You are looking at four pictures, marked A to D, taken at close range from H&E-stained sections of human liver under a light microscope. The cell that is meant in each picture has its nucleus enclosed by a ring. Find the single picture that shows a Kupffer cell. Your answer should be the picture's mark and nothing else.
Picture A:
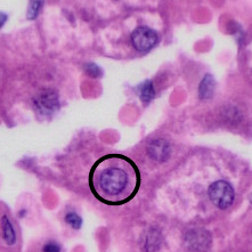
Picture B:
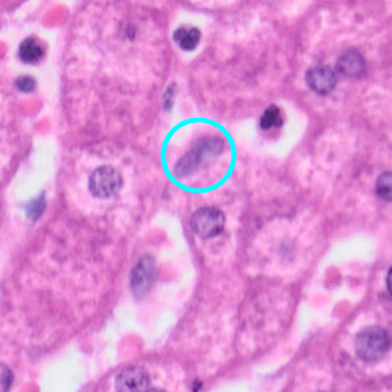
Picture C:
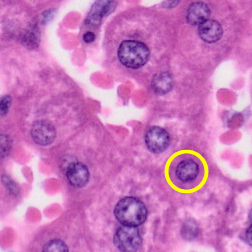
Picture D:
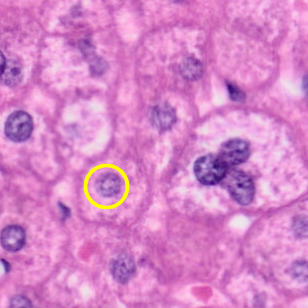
B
